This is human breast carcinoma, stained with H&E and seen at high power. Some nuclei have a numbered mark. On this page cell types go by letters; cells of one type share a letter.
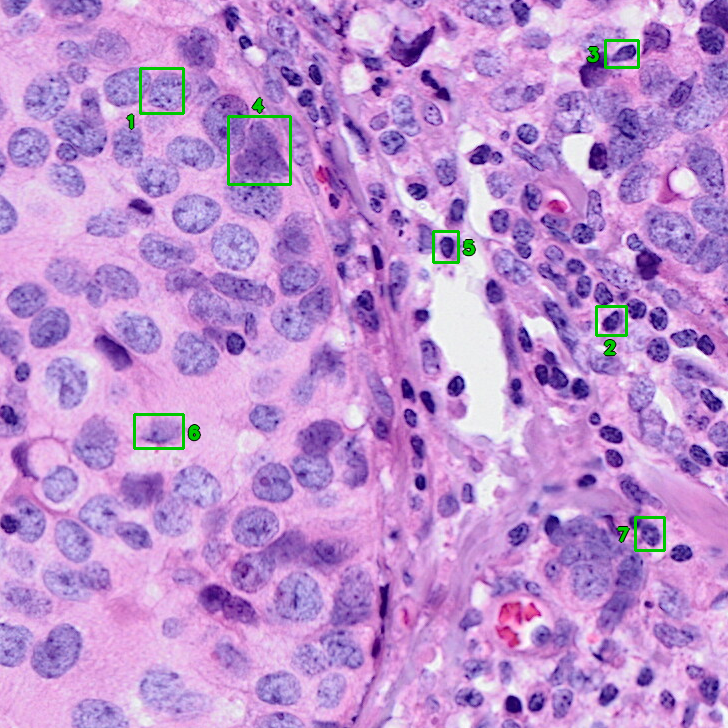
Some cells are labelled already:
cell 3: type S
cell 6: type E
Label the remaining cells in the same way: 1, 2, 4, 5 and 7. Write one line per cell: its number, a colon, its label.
1: type E
2: type S
4: type E
5: type S
7: type S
